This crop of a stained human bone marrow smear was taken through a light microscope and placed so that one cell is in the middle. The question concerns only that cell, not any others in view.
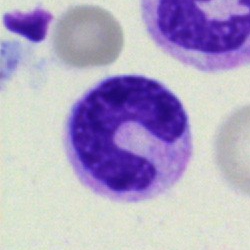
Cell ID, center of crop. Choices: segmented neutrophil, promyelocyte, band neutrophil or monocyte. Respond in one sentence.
Where the crop is centred, there is a band neutrophil.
